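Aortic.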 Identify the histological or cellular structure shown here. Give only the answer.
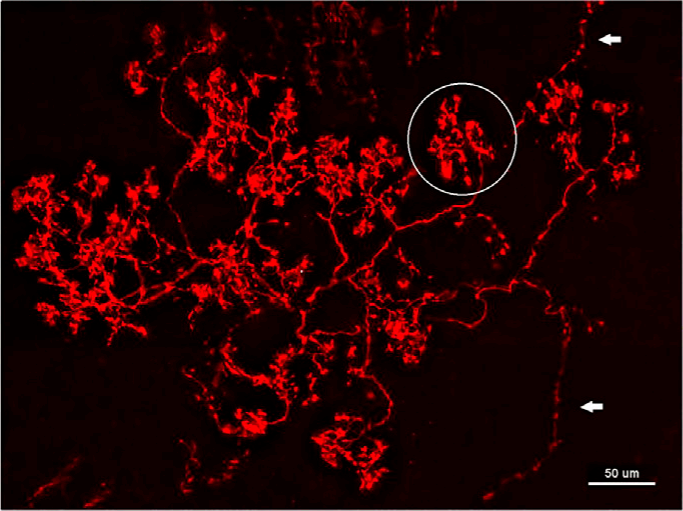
knob-like or leaf-like end-formations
